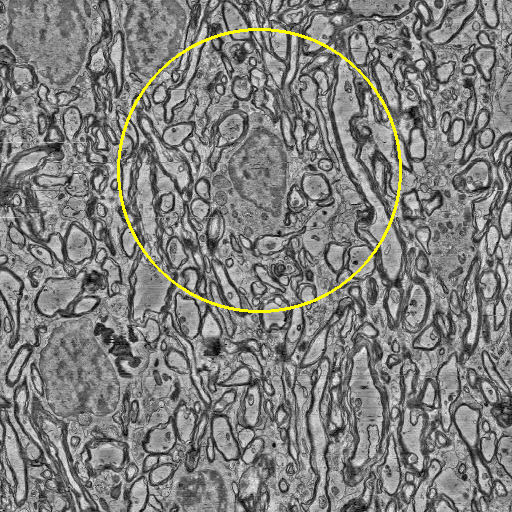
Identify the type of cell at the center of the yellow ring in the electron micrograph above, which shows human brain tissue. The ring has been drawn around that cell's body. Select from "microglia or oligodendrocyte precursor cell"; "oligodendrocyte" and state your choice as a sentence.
The yellow ring is centered on the body of an oligodendrocyte.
